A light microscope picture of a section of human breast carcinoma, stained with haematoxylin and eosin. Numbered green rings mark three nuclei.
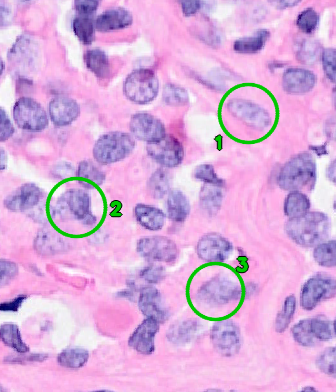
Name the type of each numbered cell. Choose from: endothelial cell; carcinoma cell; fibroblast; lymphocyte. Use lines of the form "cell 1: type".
cell 1: endothelial cell
cell 2: carcinoma cell
cell 3: carcinoma cell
